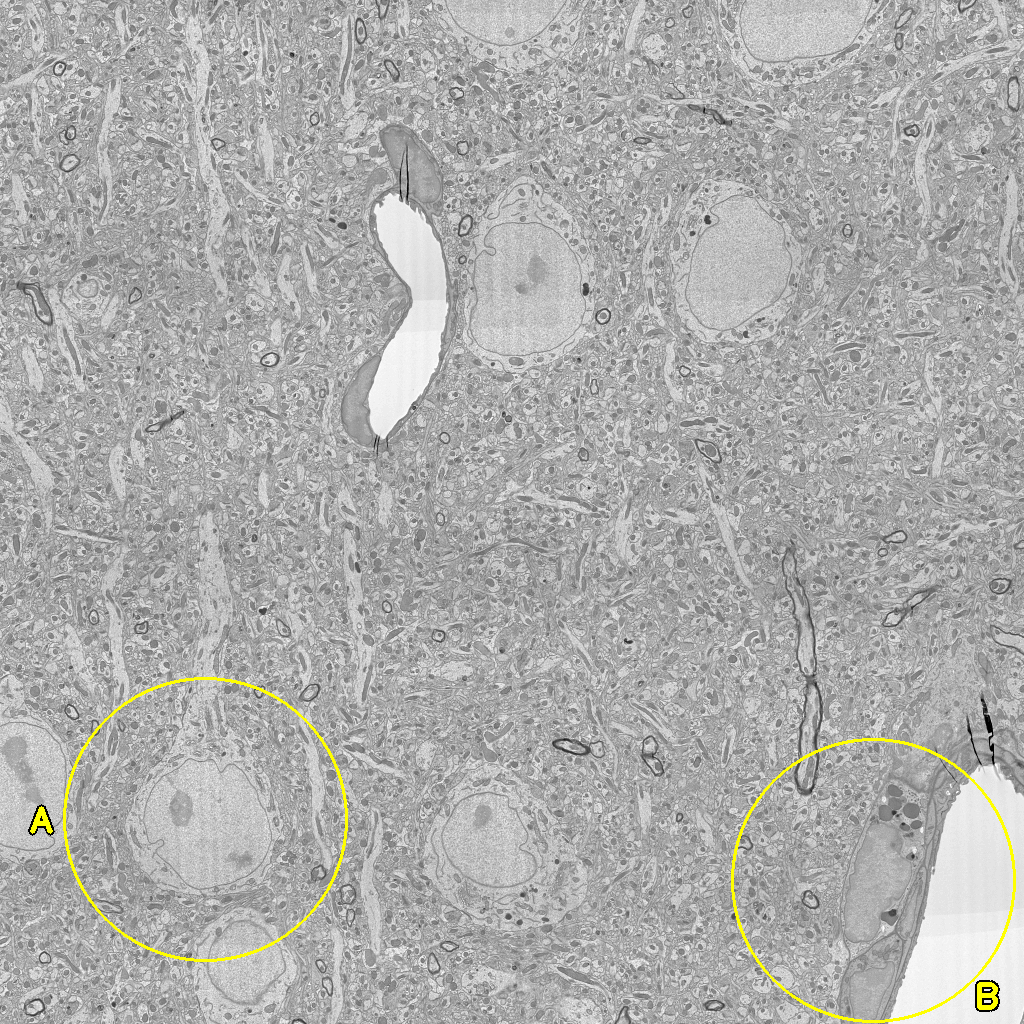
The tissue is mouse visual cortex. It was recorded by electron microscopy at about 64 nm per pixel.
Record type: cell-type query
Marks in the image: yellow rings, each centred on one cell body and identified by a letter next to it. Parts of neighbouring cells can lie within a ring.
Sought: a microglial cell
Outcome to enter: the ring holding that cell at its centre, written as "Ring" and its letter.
Ring B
